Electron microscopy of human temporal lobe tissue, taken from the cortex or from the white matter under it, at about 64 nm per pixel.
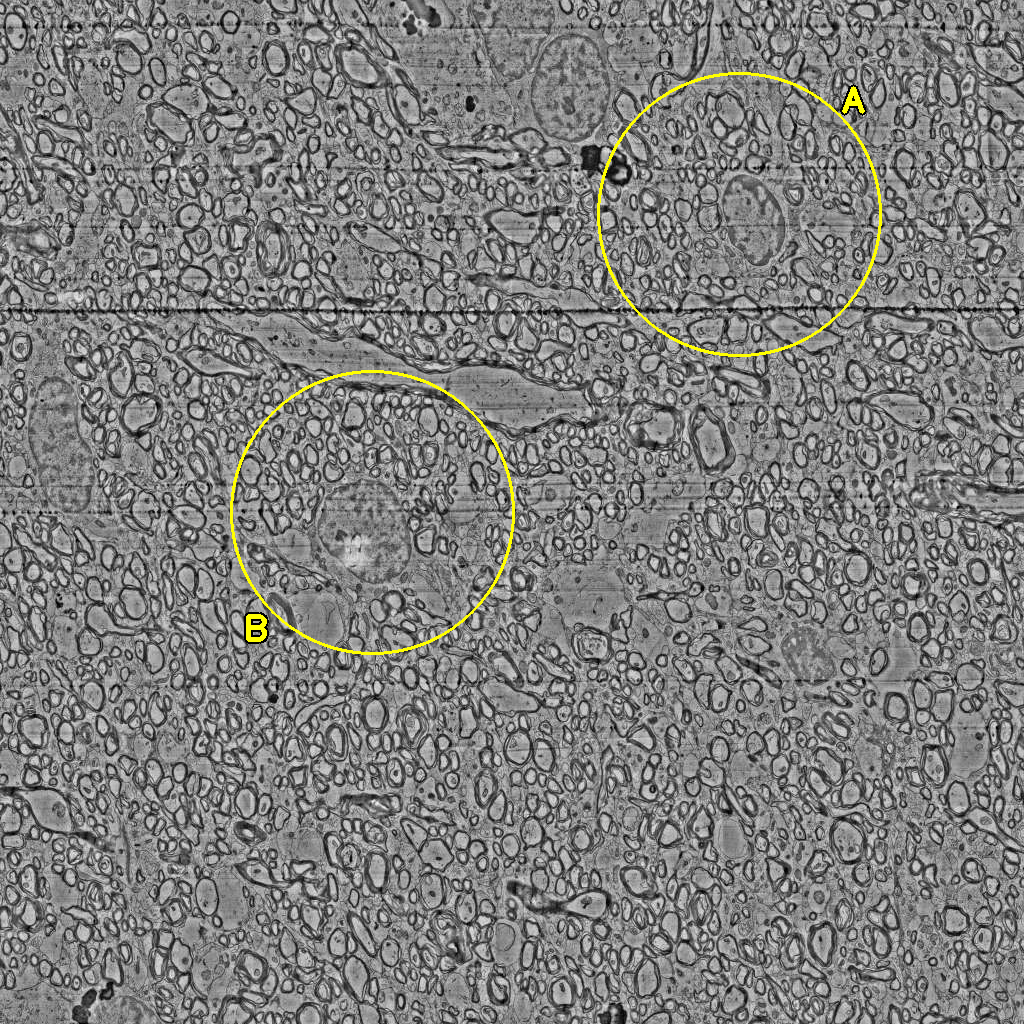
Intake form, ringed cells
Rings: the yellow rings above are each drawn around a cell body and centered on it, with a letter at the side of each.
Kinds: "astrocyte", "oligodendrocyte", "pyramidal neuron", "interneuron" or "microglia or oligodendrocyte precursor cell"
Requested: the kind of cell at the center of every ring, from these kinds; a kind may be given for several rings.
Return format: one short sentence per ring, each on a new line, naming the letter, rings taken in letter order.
In the center of ring A there is a microglial cell or oligodendrocyte precursor cell.
In the center of ring B there is an oligodendrocyte.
